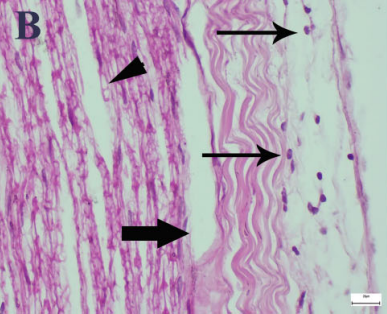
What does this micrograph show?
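This is a longitudinal section of peripheral nerve in which pink, parallel nerve fibres run from top to bottom on the left, separated in places by clear, empty spaces. At the border of the fibre bundle lies a band of wavy, pink-staining fibrous connective tissue. To the right of this band is pale, loose tissue containing scattered small, dark purple, rounded nuclei of infiltrating inflammatory cells. Within the fibres there are clear vacuole-like gaps, and a wide clear space separates part of the bundle, in keeping with swelling of the myelin. Overall the fibres look loosened and less tightly packed than in normal nerve.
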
